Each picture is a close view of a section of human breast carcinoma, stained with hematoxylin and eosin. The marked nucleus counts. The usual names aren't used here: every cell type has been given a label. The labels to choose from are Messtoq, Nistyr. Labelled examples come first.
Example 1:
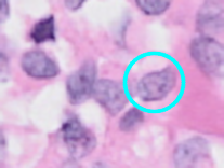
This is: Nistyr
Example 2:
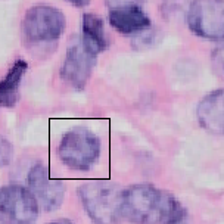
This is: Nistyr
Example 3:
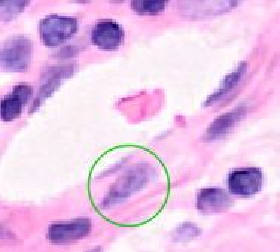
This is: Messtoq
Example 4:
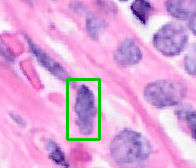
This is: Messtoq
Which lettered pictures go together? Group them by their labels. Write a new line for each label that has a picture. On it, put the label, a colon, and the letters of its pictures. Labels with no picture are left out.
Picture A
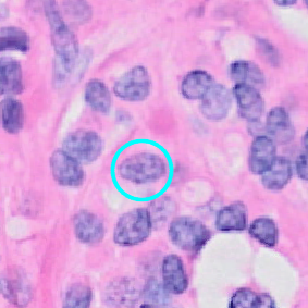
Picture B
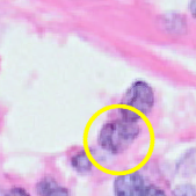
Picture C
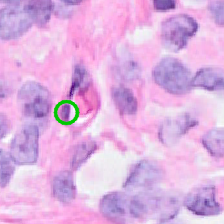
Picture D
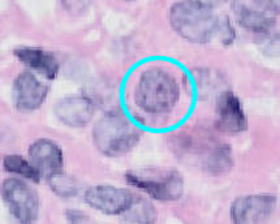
Messtoq: C
Nistyr: A, B, D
